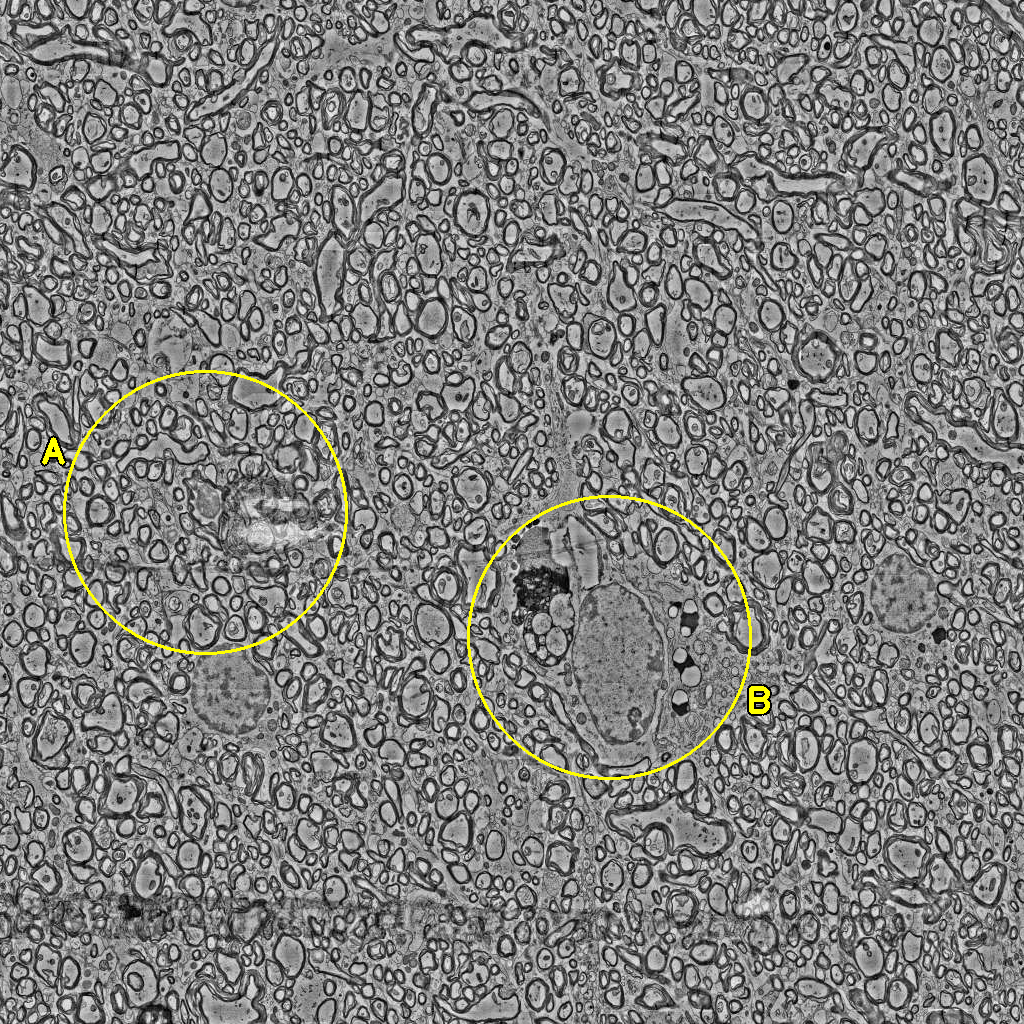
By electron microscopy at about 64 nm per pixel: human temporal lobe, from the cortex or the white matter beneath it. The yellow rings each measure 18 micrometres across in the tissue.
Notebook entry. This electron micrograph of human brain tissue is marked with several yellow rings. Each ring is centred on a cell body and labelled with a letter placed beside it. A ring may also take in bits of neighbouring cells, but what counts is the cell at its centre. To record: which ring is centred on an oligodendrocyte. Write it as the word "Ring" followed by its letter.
Ring A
